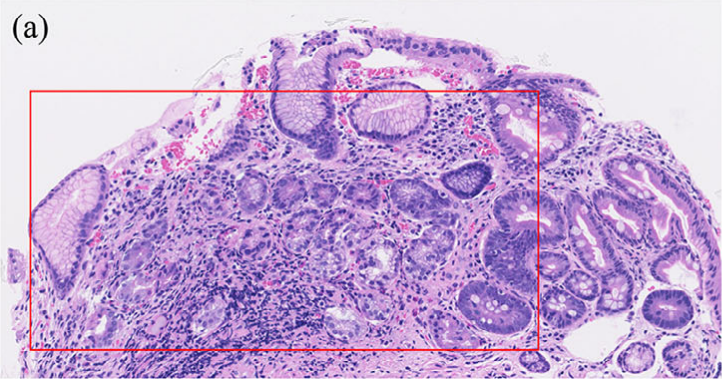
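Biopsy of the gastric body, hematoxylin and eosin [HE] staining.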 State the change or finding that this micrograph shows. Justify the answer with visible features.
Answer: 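Glands on the right contain goblet cells with clear rounded mucin vacuoles. These glands differ from the pale small-celled glands in the centre. On this evidence: Intestinal metaplasia.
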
